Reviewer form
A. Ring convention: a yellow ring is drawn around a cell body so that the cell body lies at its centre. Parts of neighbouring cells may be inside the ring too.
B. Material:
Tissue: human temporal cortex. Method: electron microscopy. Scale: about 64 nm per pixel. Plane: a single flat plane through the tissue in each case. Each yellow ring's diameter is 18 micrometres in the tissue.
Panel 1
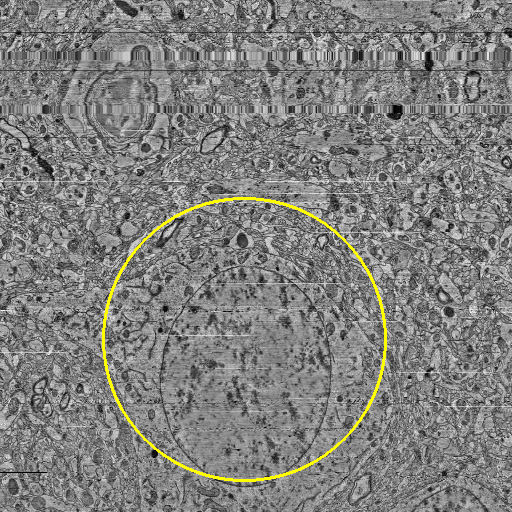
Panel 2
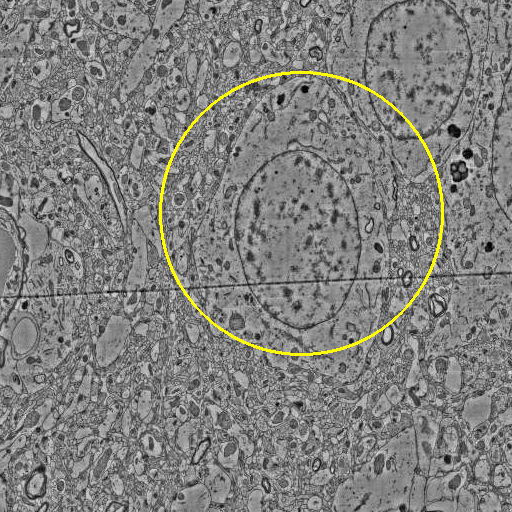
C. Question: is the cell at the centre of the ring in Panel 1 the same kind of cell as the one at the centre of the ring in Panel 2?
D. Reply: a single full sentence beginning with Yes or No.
Yes, the cells in Panel 1 and Panel 2 are the same kind of cell.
